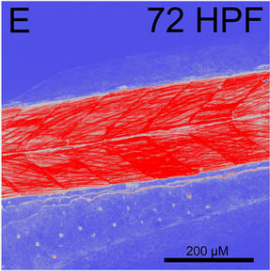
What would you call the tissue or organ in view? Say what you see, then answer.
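A broad band of elongated fibres runs along the trunk. The fibres are arranged in oblique, chevron-like blocks. On this evidence: myotome.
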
